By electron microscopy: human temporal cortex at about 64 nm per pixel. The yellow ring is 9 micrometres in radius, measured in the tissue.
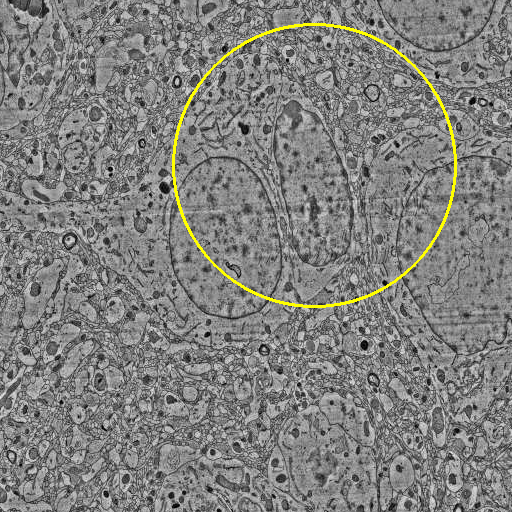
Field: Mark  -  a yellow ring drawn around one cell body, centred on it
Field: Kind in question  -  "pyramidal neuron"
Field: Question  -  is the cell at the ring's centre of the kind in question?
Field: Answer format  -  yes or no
no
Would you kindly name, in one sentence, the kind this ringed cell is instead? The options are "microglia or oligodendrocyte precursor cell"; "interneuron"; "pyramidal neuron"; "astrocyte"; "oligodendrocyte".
The cell enclosed by the ring is a microglial cell or oligodendrocyte precursor cell.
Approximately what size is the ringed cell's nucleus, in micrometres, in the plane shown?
Roughly 10 by 4 micrometers, clearly longer than it is wide in this plane.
